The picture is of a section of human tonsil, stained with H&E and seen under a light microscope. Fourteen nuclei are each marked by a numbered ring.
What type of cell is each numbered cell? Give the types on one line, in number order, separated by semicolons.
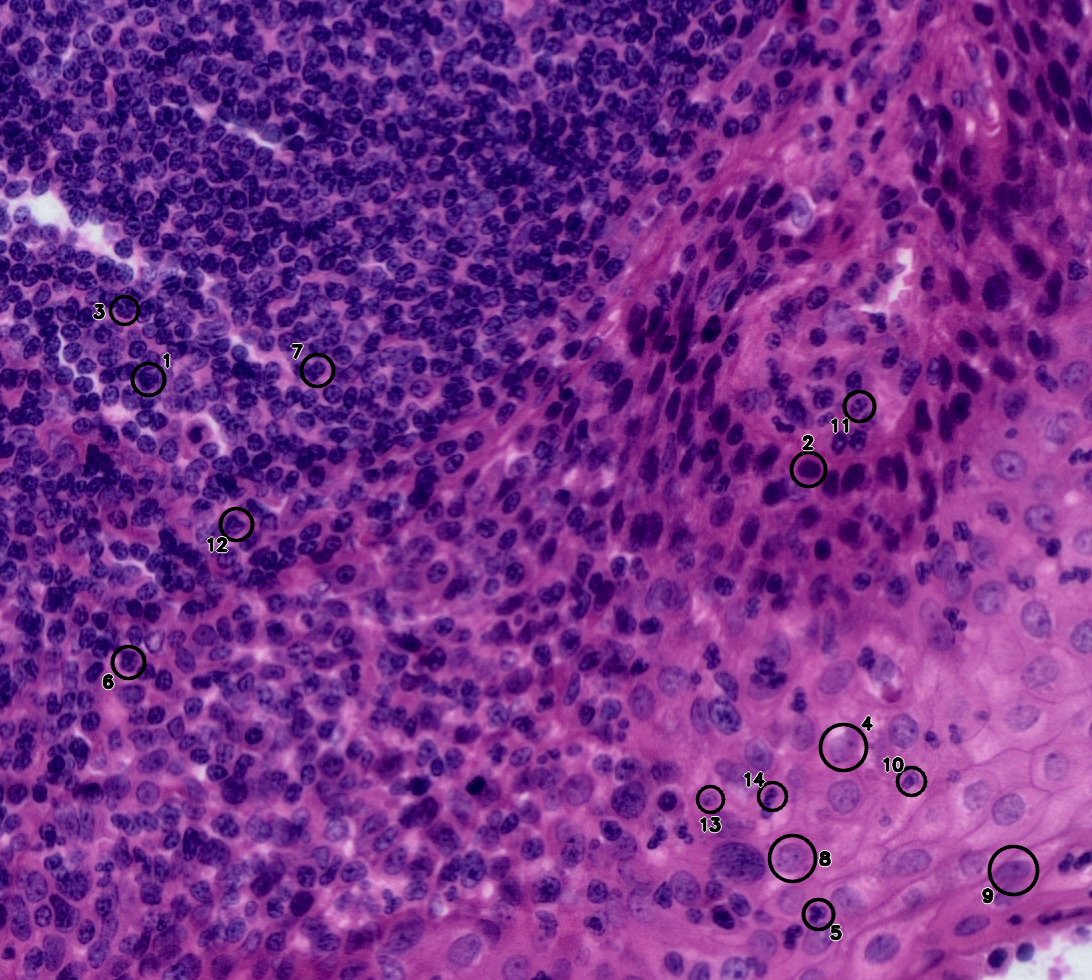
small lymphocyte; squamous epithelial cell; small lymphocyte; squamous epithelial cell; squamous epithelial cell; plasma cell; small lymphocyte; squamous epithelial cell; squamous epithelial cell; squamous epithelial cell; plasma cell; plasma cell; squamous epithelial cell; squamous epithelial cell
